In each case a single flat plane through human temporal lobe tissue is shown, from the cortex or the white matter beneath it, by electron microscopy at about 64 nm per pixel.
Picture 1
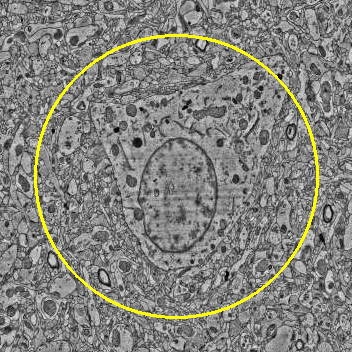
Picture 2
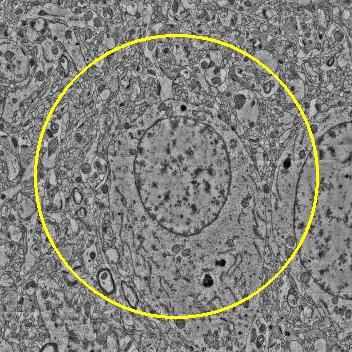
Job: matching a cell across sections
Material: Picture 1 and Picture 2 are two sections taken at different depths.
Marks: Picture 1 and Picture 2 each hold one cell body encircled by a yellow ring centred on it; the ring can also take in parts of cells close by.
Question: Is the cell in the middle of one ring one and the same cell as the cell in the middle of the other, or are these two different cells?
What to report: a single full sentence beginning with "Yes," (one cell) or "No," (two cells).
No, what the two rings mark is two different cells.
